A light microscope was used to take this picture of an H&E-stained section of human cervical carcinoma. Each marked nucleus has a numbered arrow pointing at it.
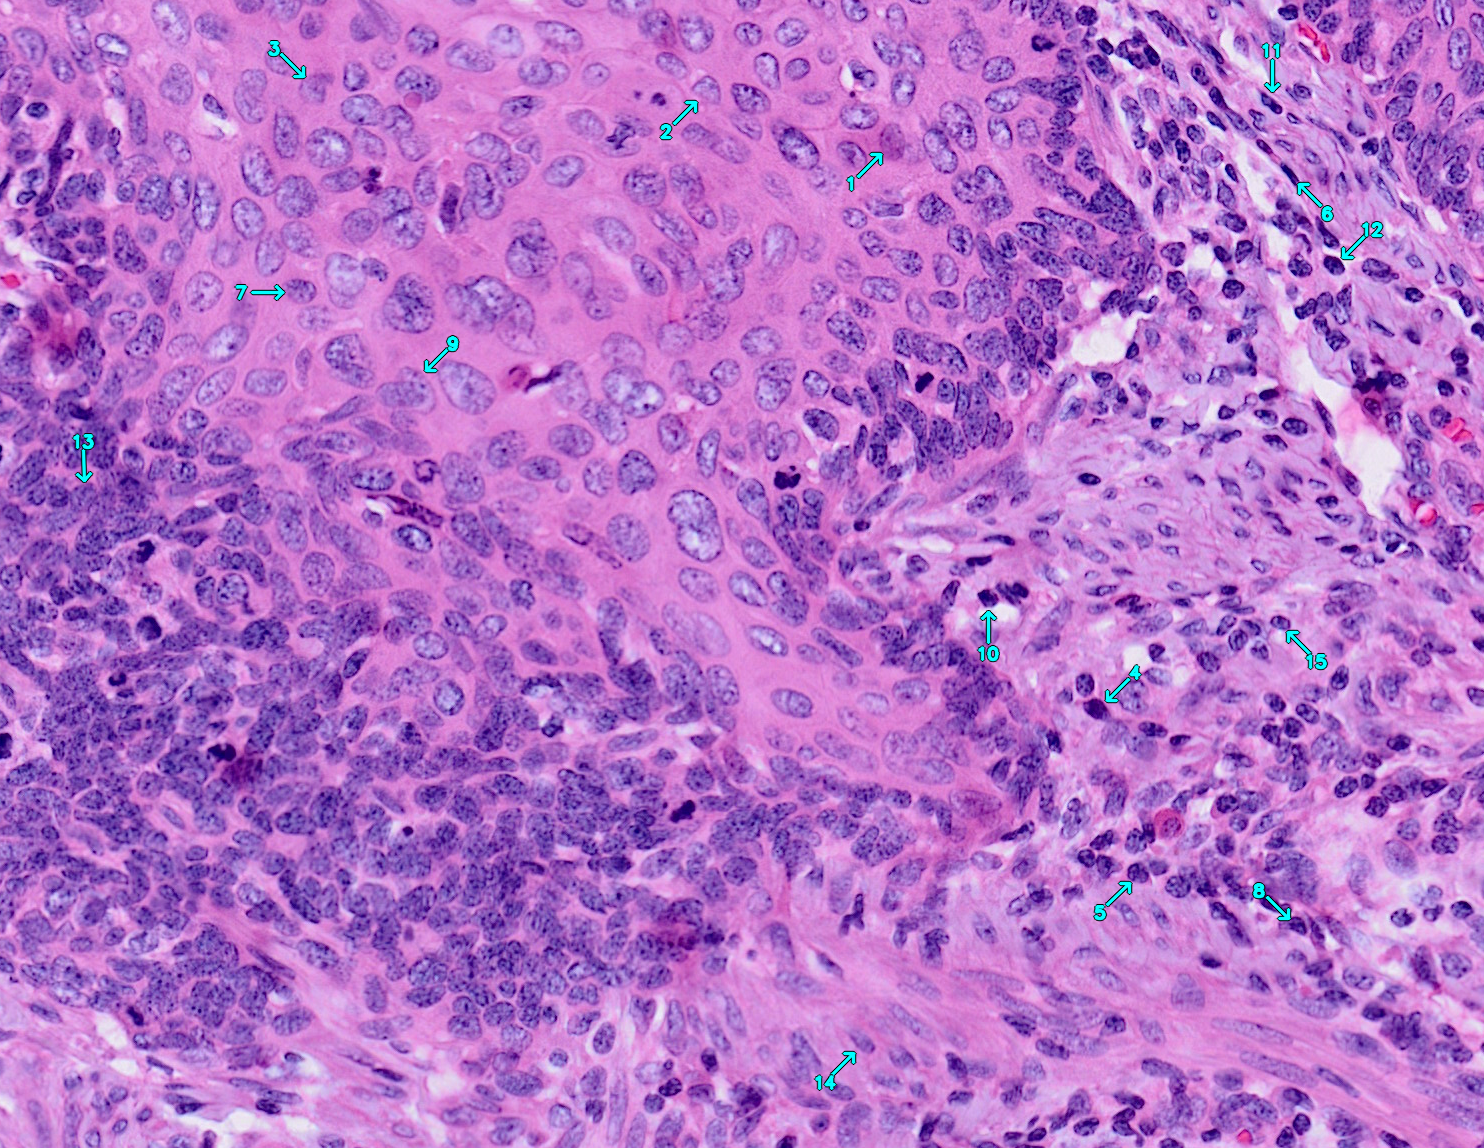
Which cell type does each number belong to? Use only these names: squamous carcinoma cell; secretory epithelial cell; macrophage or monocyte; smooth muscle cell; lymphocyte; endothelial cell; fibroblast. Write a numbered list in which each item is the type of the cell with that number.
1. squamous carcinoma cell
2. squamous carcinoma cell
3. squamous carcinoma cell
4. lymphocyte
5. lymphocyte
6. lymphocyte
7. squamous carcinoma cell
8. lymphocyte
9. squamous carcinoma cell
10. lymphocyte
11. lymphocyte
12. lymphocyte
13. squamous carcinoma cell
14. smooth muscle cell
15. lymphocyte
